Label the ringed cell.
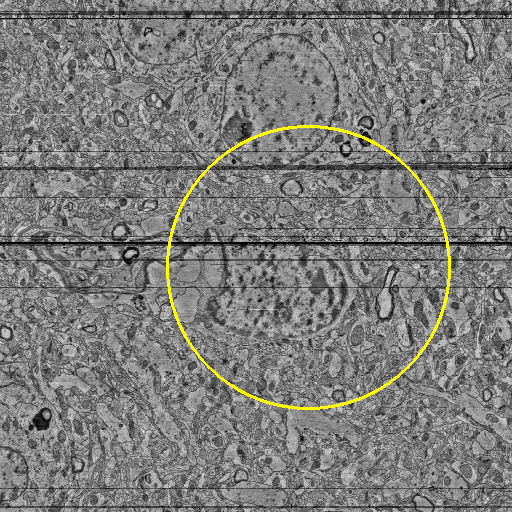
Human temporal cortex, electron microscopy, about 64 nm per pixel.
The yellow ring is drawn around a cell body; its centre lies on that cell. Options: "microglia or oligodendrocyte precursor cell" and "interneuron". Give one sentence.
The ringed cell is a microglial cell or oligodendrocyte precursor cell.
